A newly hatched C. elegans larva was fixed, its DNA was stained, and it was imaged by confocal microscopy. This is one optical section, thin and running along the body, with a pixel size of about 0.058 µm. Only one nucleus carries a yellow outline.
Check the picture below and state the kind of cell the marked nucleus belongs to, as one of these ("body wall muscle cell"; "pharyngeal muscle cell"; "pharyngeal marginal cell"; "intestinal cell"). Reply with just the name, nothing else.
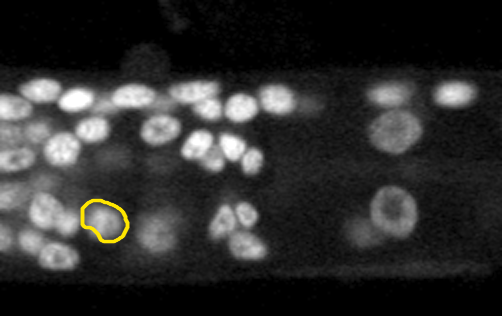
pharyngeal muscle cell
